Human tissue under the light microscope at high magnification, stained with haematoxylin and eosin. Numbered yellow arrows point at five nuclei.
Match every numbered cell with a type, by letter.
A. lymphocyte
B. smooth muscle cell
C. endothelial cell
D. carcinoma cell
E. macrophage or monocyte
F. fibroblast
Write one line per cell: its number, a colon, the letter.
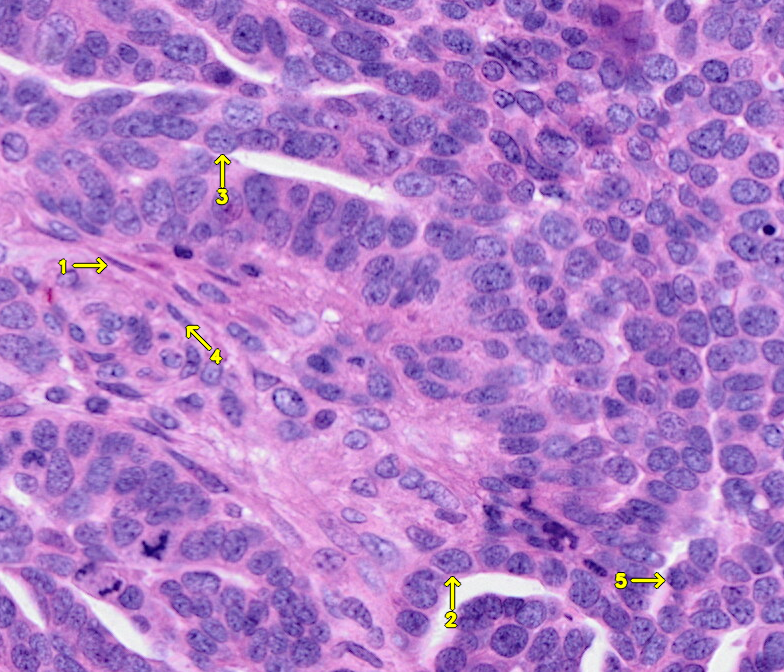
1: F
2: D
3: D
4: F
5: D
